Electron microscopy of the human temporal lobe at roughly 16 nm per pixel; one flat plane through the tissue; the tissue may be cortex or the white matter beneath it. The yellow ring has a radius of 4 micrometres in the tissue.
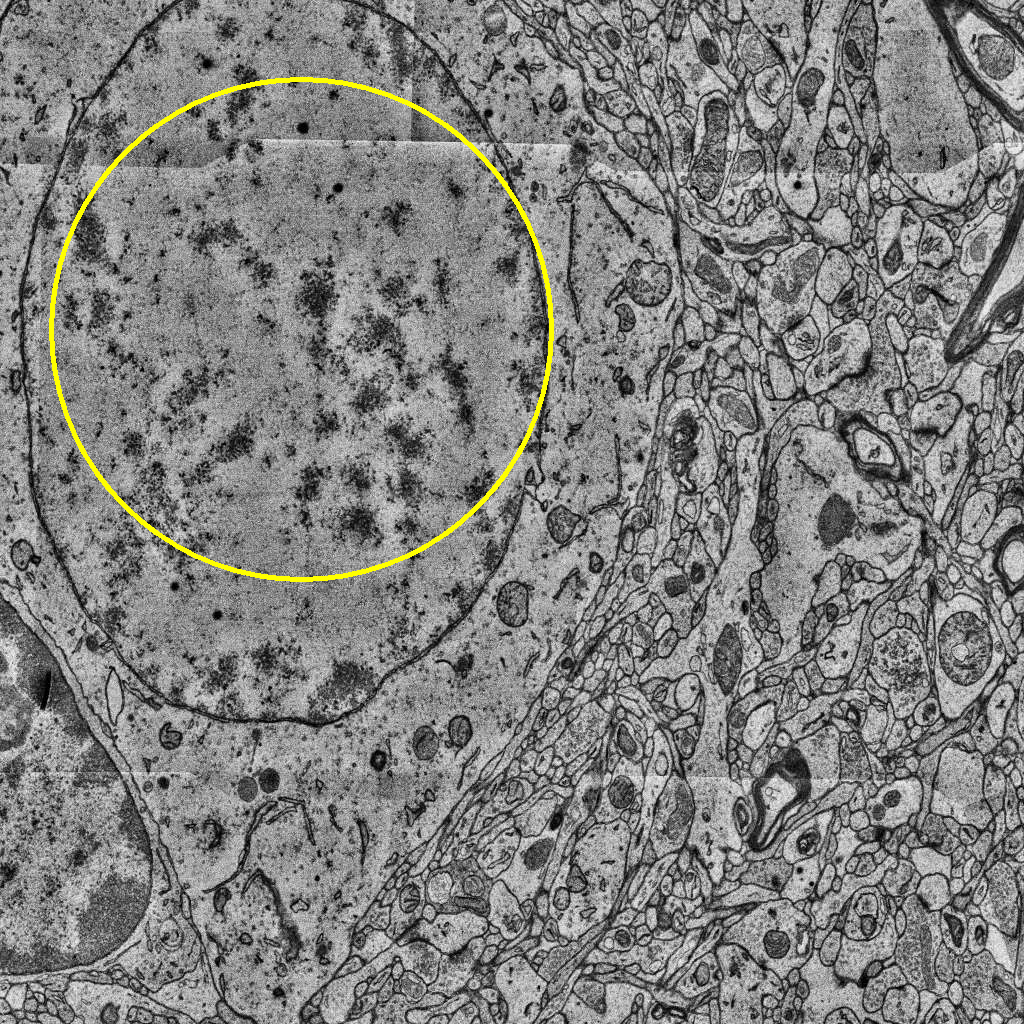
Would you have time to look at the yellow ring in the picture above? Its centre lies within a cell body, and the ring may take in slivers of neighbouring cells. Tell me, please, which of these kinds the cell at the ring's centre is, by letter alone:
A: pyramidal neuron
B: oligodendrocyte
A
